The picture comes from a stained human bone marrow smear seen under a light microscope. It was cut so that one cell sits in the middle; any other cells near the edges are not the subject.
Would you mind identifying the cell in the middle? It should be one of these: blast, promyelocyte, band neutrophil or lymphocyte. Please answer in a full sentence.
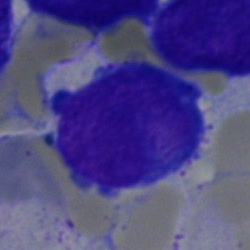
Answering briefly, the cell in the middle is a blast.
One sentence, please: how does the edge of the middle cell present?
Smoothness is lacking at the edge, which is ragged in places or drawn into projections.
